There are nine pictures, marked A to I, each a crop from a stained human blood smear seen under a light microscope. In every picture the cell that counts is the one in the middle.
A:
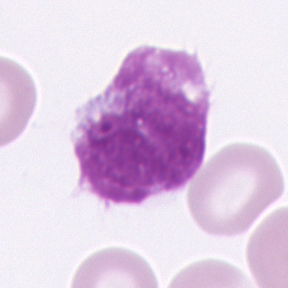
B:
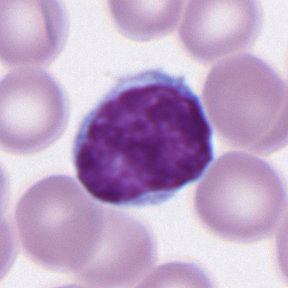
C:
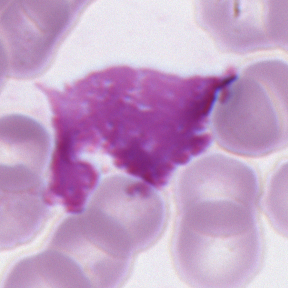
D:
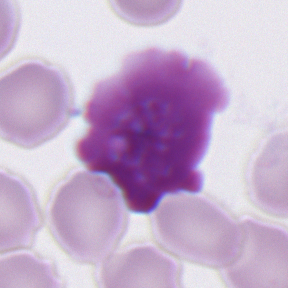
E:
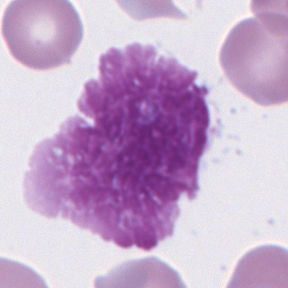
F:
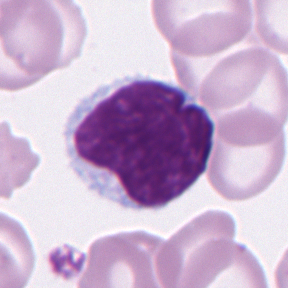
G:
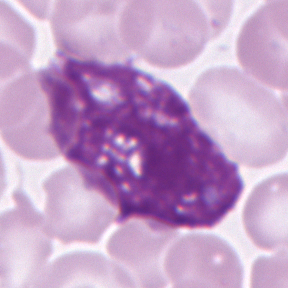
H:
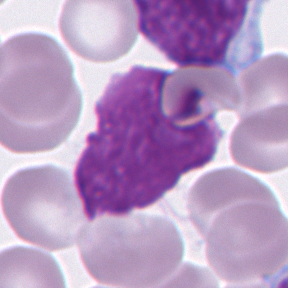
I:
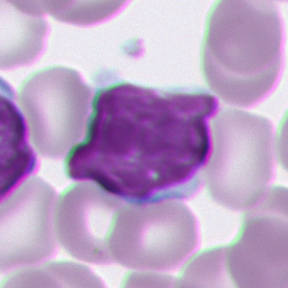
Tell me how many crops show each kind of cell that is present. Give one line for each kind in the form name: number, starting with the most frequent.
smudge cell: 6
typical lymphocyte: 3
